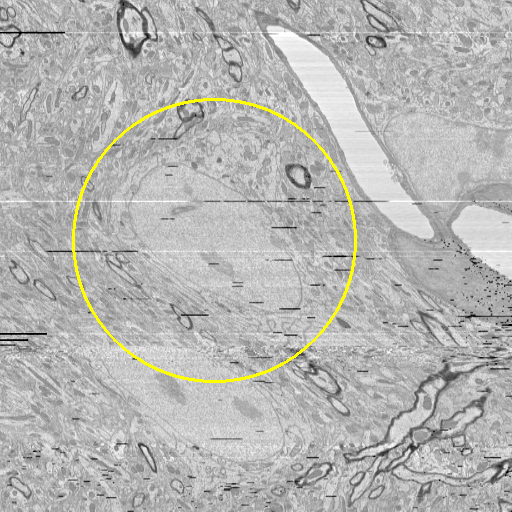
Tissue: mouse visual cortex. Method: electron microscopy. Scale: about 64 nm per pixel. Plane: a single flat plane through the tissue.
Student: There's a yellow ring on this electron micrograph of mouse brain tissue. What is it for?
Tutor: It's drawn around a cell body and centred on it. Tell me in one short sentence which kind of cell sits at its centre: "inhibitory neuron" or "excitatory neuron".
The cell at the centre of the ring is an inhibitory neuron.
